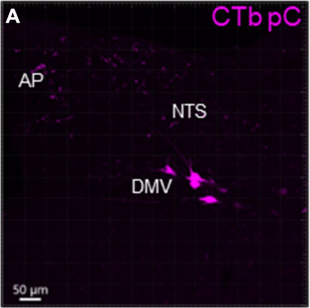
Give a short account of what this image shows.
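This section of the dorsal medulla shows a few magenta-filled neurons lying in a small group below a region that holds only scattered specks. The neuronal cell bodies are oval to spindle shaped and bright, some with short tapering processes. Above them, fine scattered magenta dots and short threads lie in the nuclei nearer the dorsal surface. These dots look like nerve terminals rather than whole cells. The background is otherwise dark.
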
